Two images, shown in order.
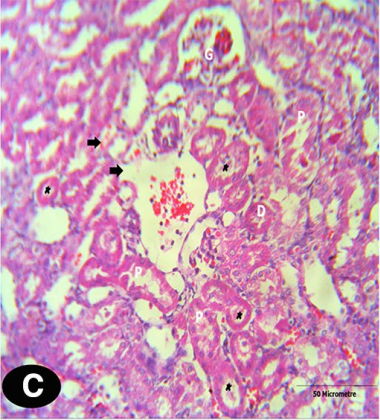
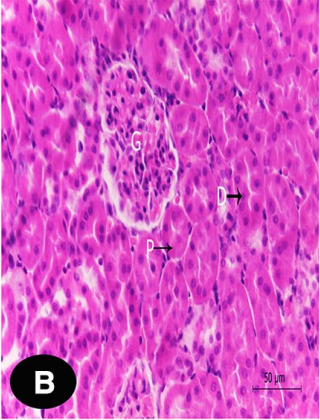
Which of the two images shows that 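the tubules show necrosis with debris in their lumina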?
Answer: The first image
